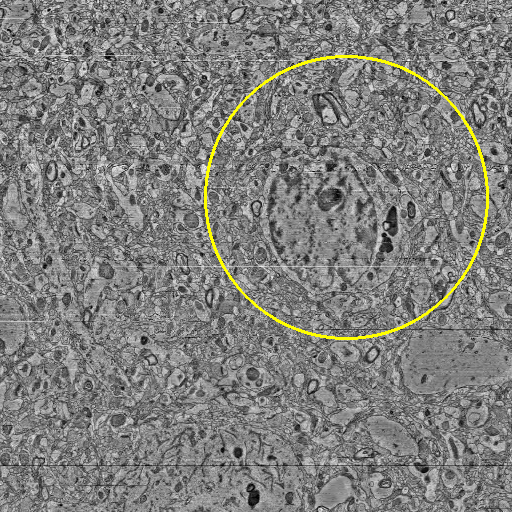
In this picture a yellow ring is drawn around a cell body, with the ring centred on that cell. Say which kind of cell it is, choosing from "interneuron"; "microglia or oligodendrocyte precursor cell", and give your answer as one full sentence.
Here it is an interneuron that sits at the centre of the drawn yellow ring.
